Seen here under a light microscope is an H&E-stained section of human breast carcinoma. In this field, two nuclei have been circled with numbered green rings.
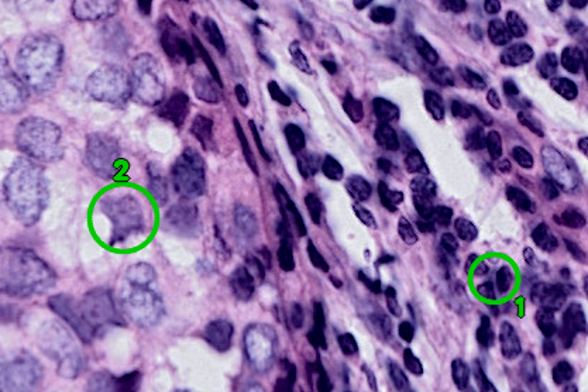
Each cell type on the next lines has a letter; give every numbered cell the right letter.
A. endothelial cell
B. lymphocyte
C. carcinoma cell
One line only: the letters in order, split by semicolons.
B; C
